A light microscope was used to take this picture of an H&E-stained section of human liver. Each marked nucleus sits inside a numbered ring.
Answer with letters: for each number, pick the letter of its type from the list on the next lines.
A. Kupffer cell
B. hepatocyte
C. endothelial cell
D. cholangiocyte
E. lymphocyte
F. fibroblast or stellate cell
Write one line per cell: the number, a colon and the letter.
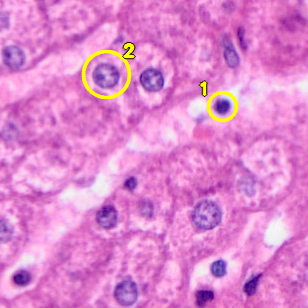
1: E
2: B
